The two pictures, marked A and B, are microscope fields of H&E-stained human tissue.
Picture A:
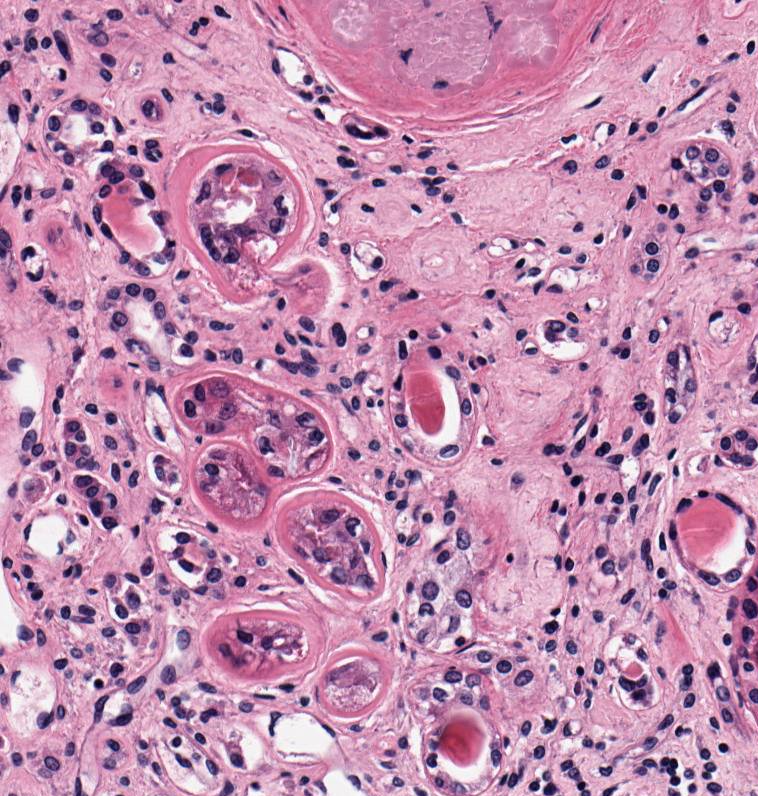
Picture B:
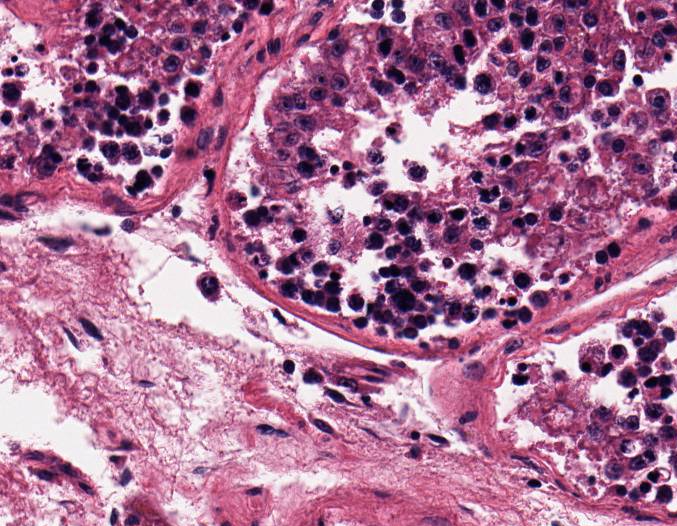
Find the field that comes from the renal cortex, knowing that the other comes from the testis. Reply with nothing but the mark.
A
